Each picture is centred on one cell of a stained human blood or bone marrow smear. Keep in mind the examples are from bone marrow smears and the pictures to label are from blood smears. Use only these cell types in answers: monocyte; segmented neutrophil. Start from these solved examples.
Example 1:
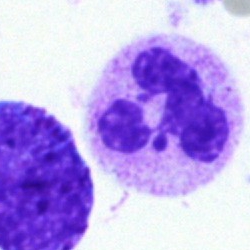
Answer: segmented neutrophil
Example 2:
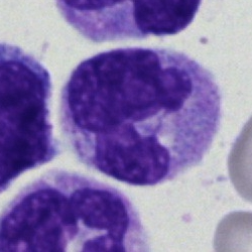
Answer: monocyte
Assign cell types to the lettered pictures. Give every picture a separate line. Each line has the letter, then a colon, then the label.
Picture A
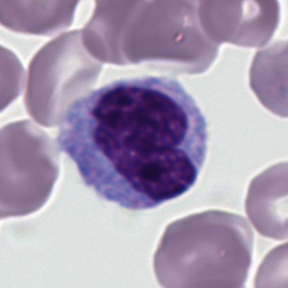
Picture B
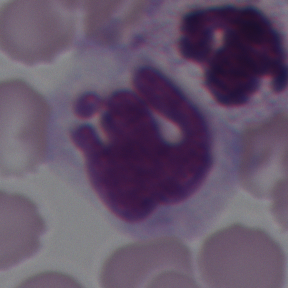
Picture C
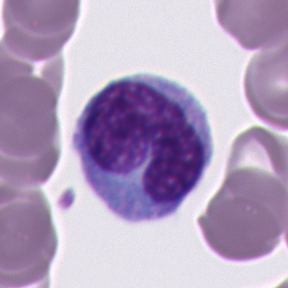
A: monocyte
B: monocyte
C: monocyte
